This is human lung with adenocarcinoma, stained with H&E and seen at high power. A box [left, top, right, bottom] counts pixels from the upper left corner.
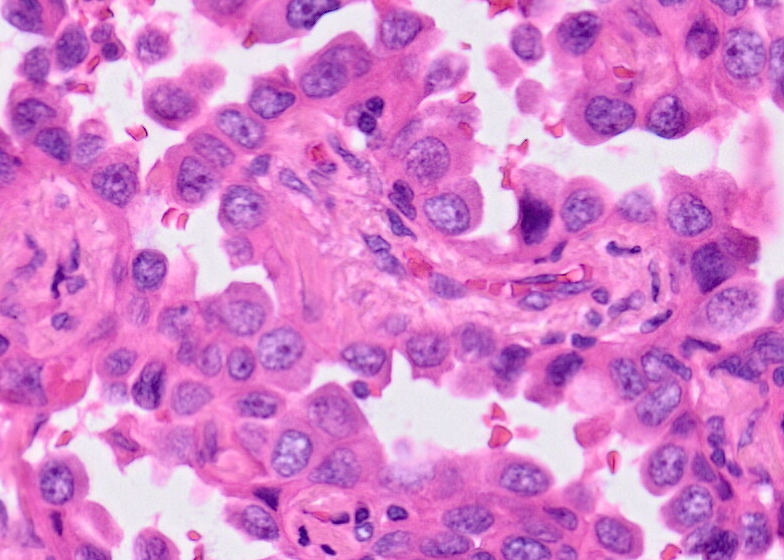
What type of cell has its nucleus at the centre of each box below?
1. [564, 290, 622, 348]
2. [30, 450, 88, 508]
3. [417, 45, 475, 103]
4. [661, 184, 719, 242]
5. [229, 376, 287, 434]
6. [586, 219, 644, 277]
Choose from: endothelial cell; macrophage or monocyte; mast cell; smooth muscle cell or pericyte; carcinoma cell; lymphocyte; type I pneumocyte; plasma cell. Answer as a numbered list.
1. lymphocyte
2. carcinoma cell
3. carcinoma cell
4. carcinoma cell
5. carcinoma cell
6. lymphocyte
